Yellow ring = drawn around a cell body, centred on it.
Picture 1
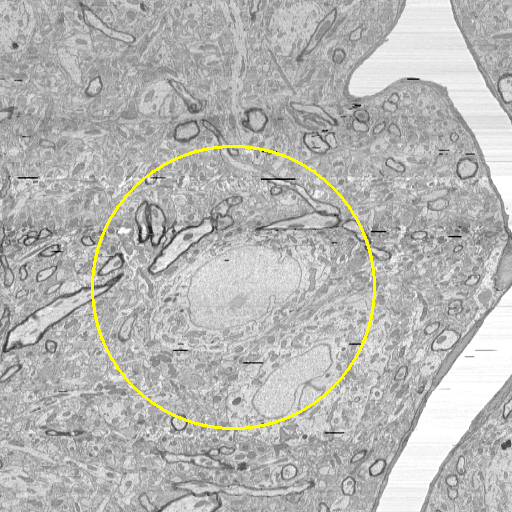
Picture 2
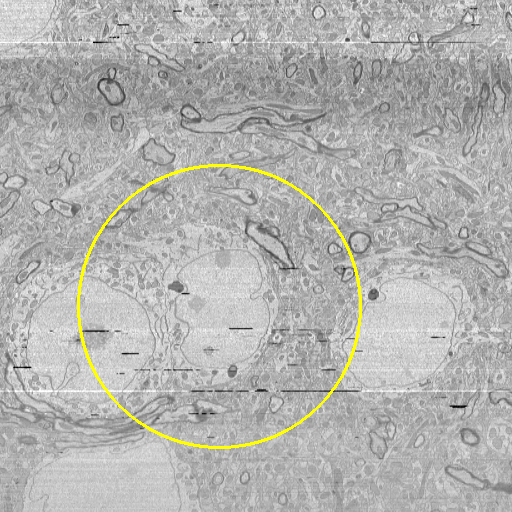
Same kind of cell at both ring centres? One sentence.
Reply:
No, they are two kinds of cell.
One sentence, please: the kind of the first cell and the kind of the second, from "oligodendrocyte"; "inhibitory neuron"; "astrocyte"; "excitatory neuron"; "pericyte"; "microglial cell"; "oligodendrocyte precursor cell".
The ring in the first picture surrounds an inhibitory neuron, and the ring in the second surrounds an excitatory neuron.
